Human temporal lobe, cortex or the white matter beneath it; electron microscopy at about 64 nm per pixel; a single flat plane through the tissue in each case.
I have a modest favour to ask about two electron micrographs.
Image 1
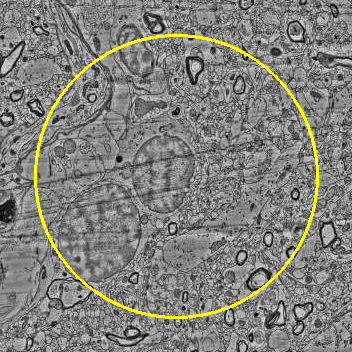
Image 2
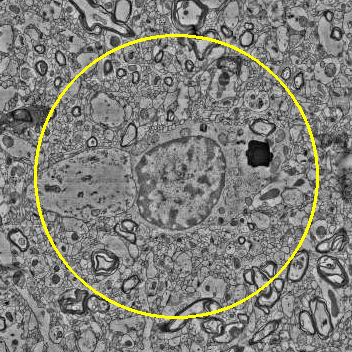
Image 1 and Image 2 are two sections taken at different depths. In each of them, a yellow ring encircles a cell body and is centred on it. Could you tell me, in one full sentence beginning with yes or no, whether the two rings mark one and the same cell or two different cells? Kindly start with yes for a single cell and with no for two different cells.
No, the two rings do not mark one cell; they mark two different cells.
